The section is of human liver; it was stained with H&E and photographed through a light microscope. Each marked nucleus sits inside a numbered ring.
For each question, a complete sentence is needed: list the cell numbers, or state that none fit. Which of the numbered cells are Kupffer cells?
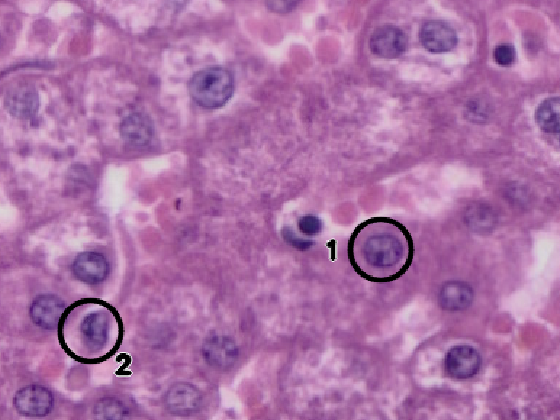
Cell 2 is a Kupffer cell; the remaining numbered cells are not.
